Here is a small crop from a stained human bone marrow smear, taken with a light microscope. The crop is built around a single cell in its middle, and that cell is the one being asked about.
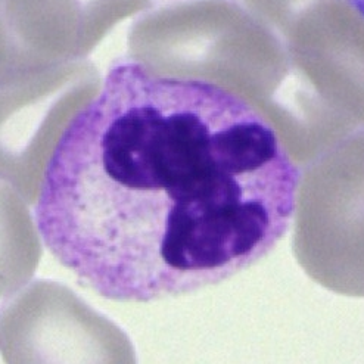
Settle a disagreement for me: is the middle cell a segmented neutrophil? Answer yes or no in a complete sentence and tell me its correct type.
Yes, the cell lying in the middle is a segmented neutrophil.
